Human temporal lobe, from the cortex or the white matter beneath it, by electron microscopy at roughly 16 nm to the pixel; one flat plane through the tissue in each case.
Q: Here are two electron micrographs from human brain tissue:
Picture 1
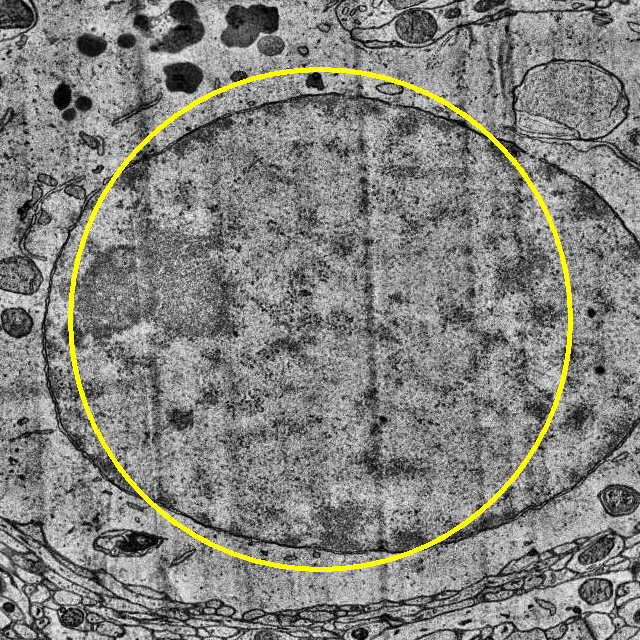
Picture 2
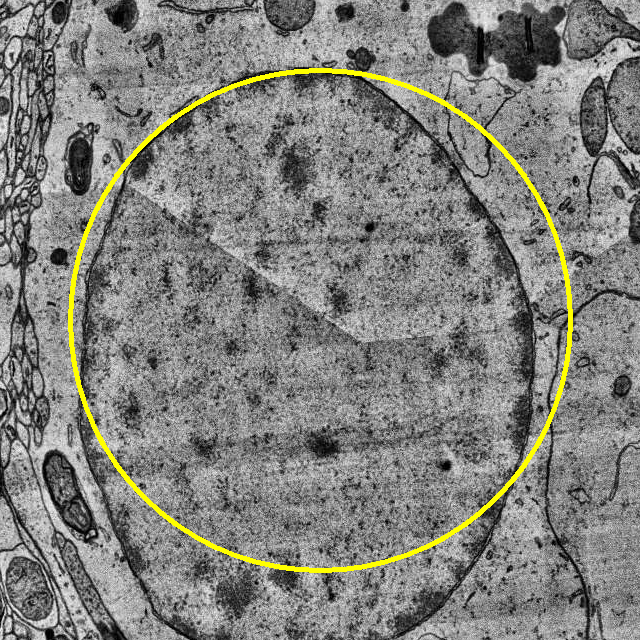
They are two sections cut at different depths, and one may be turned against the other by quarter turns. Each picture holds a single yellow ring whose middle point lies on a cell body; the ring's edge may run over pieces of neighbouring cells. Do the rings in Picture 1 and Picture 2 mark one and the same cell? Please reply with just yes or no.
yes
